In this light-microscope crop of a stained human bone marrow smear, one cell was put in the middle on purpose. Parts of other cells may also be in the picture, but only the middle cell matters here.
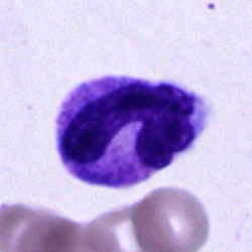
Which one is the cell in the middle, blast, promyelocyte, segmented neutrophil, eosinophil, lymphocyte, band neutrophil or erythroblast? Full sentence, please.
In the crop, the cell of interest at the centre is a band neutrophil.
